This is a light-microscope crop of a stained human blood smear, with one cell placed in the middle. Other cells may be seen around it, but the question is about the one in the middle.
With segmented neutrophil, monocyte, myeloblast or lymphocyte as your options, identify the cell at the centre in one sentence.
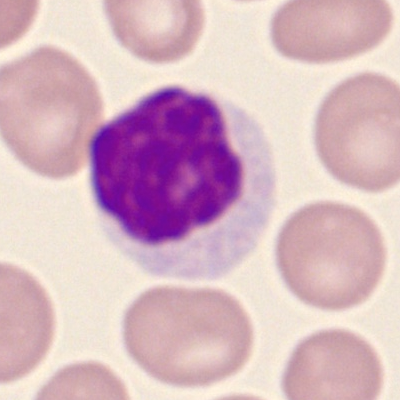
Regarding the central cell, it is a lymphocyte.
